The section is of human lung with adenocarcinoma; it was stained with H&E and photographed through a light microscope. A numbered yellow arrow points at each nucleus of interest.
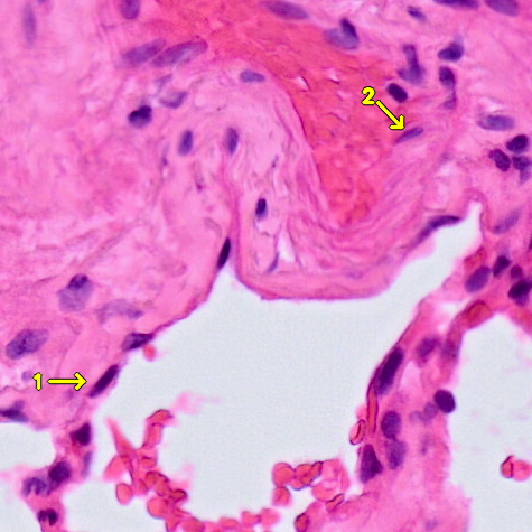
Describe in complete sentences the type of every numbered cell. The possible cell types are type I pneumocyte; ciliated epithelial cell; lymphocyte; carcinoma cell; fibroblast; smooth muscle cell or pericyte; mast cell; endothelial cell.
Cell 1 is an endothelial cell and cell 2 is a smooth muscle cell or pericyte.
